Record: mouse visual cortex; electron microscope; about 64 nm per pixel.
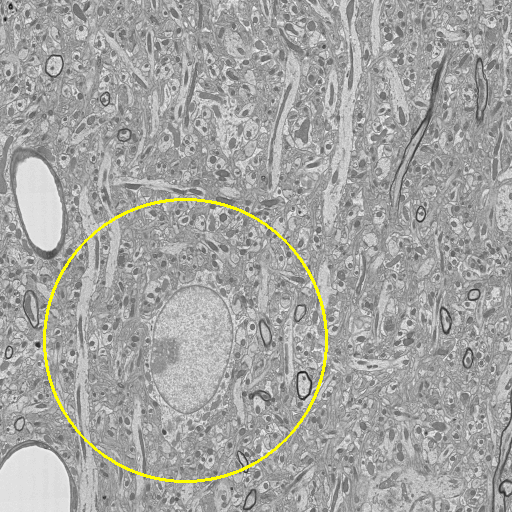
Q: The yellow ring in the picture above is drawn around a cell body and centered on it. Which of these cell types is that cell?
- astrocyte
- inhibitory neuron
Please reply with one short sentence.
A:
The cell body at the ring's center belongs to an astrocyte.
